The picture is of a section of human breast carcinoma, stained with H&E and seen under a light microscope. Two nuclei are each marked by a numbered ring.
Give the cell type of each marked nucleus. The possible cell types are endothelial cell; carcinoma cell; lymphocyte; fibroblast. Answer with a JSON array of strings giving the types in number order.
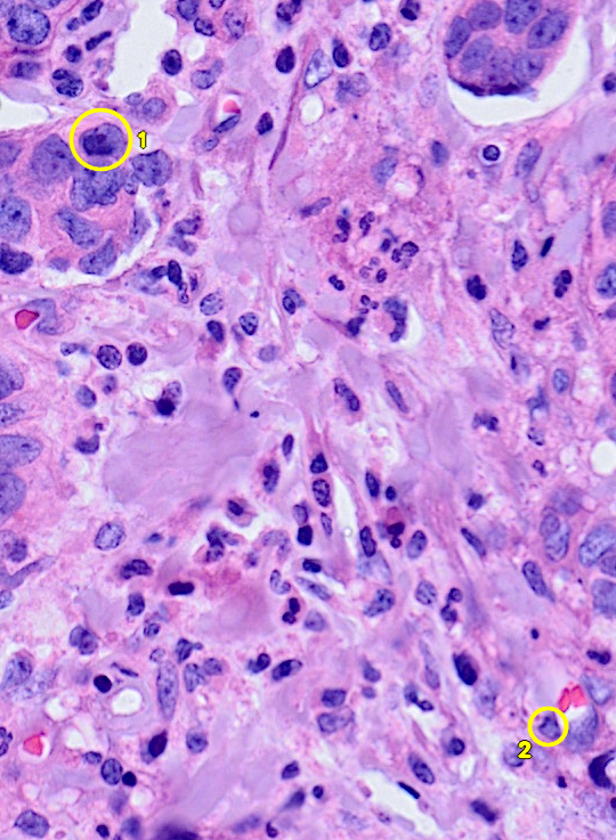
["carcinoma cell", "endothelial cell"]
